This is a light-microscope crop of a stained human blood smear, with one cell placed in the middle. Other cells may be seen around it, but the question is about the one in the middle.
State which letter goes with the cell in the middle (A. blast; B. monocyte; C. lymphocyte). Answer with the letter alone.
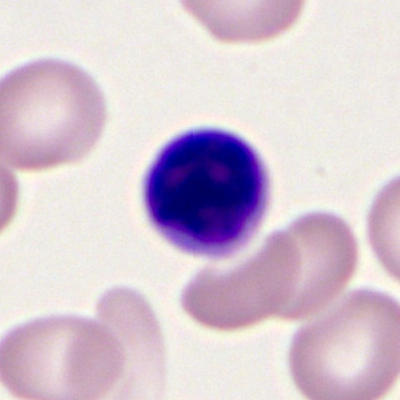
C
